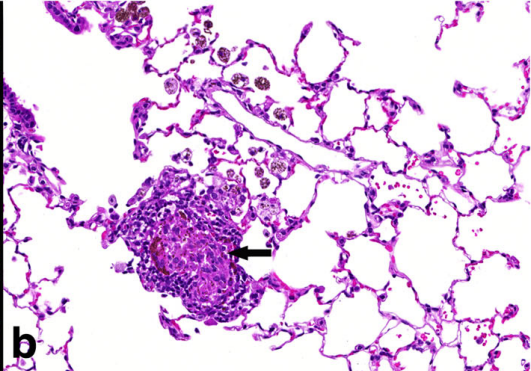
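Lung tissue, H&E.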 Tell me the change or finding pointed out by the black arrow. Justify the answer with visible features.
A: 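A compact nodular cluster of cells with pale pink cytoplasm sits in the alveolar tissue. The cluster is rimmed by darker inflammatory cells. On this evidence: granulomatous inflammation.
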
